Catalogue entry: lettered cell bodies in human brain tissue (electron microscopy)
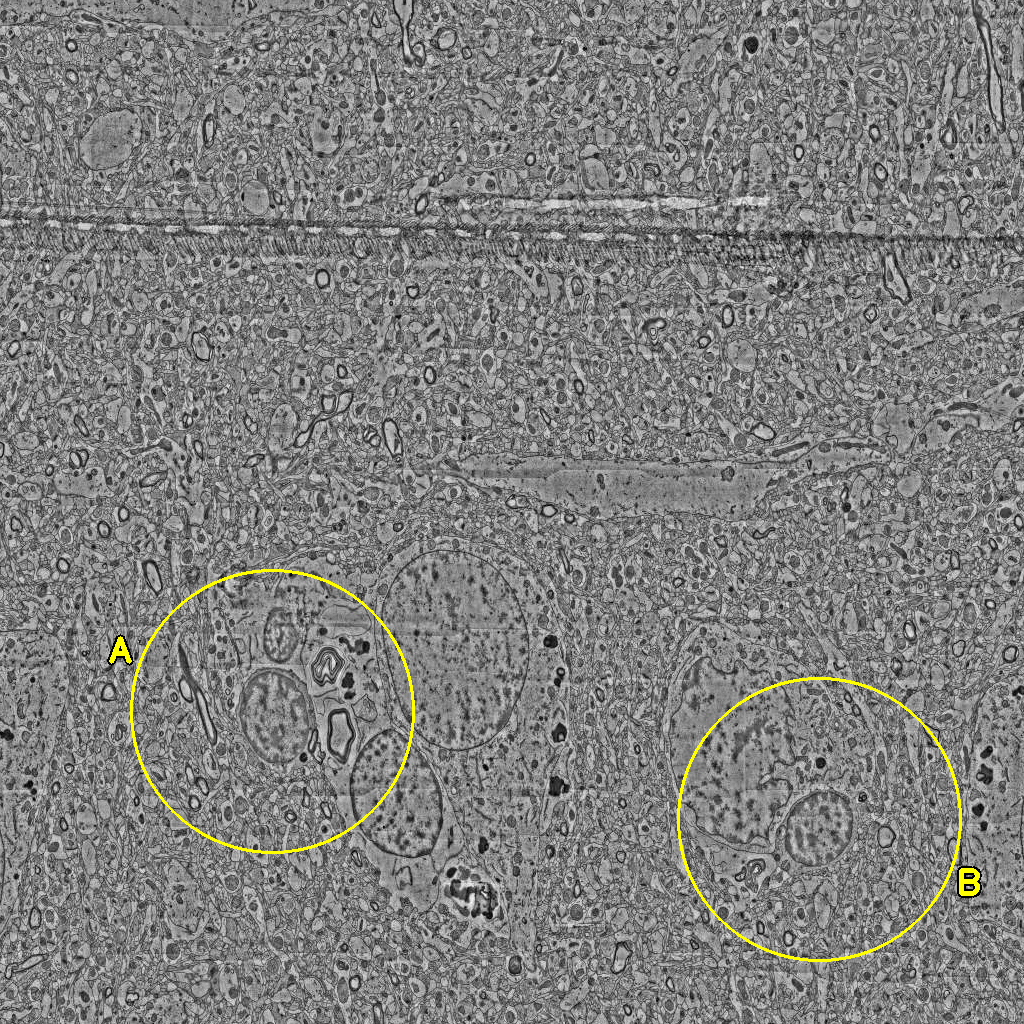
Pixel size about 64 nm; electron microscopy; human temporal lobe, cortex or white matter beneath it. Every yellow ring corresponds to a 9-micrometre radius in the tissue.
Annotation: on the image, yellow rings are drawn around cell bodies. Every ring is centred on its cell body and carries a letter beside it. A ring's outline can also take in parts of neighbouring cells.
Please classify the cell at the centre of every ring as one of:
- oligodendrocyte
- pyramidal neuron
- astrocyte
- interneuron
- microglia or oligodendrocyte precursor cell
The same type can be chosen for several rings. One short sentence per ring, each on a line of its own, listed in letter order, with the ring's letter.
Ring A is classified as an oligodendrocyte.
Ring B is classified as an oligodendrocyte.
